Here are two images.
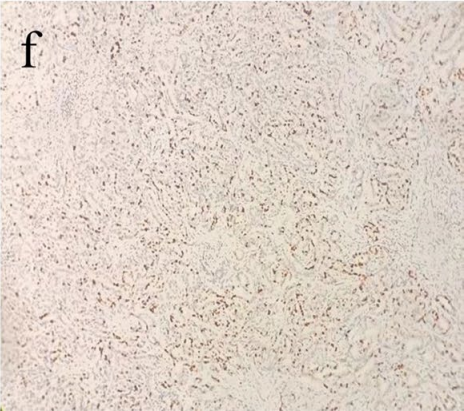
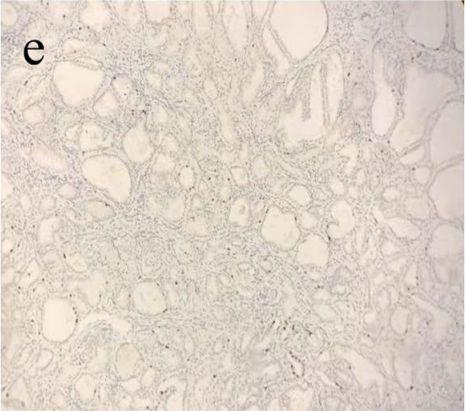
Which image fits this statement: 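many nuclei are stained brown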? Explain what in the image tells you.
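First image: numerous brown nuclei are scattered across the field. Second image: brown nuclei are rare among pale tubules and cysts.
Hence: the first image.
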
